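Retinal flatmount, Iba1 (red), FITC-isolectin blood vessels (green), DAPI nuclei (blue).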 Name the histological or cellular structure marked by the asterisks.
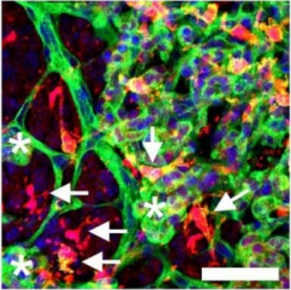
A: Neovascular tufts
